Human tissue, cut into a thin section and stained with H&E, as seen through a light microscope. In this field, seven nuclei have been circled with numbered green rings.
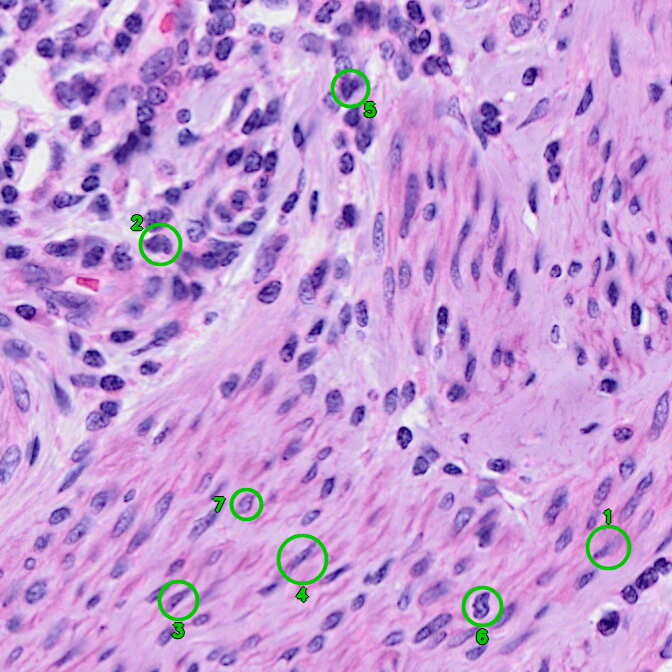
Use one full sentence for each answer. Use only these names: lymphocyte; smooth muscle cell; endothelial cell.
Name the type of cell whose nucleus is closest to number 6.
The cell nearest to number 6 is a smooth muscle cell.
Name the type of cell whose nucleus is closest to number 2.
The cell nearest to number 2 is a lymphocyte.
